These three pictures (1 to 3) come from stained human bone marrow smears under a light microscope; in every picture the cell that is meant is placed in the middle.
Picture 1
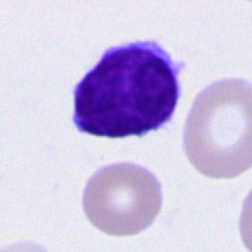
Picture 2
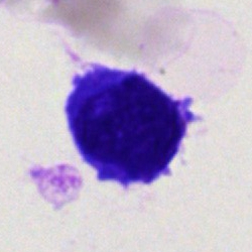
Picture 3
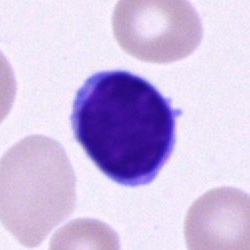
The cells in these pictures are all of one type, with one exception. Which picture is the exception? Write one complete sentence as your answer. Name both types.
The others show lymphocytes, but picture 2 shows a blast.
